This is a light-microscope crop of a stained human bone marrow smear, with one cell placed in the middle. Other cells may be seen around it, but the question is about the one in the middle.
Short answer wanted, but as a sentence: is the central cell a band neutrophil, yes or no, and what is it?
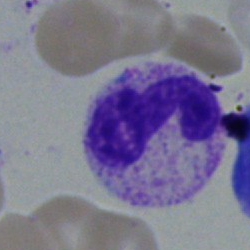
Yes, the crop is centred on a band neutrophil.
